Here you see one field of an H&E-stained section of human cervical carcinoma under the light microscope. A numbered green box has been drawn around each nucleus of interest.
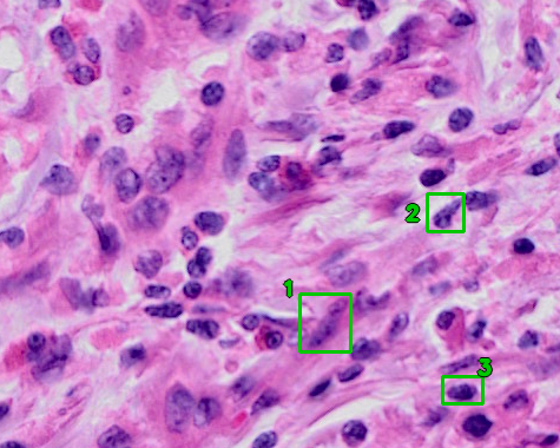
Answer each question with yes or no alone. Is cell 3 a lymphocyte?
yes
